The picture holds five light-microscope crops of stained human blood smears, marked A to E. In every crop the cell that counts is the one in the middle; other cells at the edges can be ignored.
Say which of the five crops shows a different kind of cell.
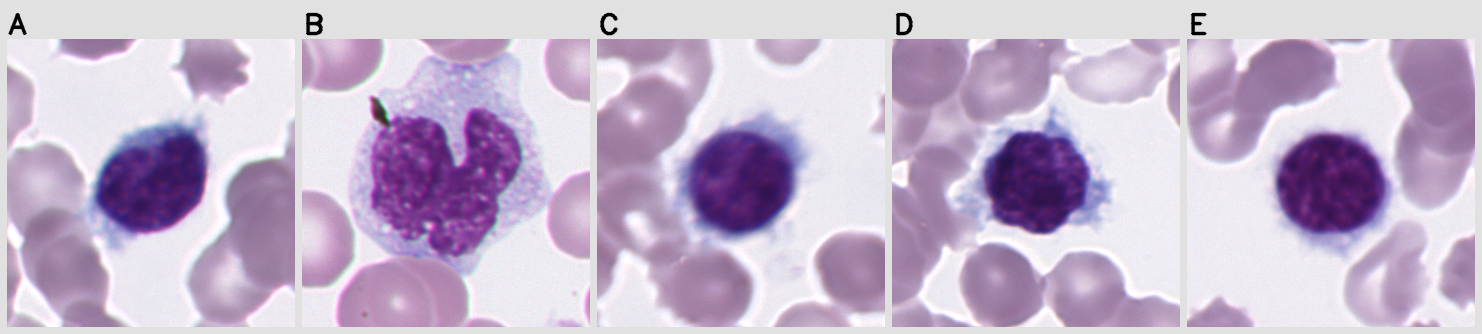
B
